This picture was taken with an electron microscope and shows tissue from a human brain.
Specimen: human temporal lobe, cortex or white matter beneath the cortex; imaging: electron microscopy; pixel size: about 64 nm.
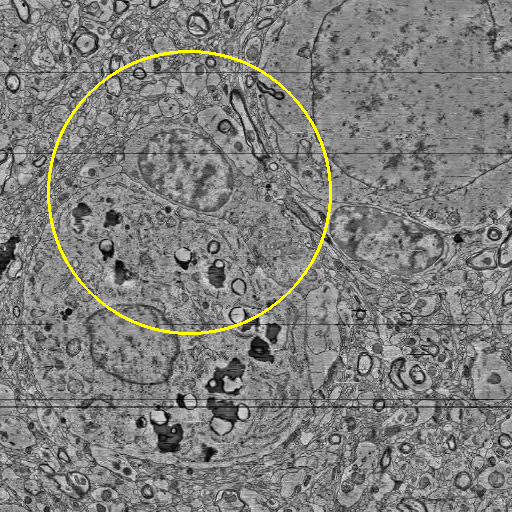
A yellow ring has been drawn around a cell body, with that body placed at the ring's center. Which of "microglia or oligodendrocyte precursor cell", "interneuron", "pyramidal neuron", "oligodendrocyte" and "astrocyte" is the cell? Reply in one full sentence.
In this picture, an oligodendrocyte is the cell at the center of the yellow ring.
